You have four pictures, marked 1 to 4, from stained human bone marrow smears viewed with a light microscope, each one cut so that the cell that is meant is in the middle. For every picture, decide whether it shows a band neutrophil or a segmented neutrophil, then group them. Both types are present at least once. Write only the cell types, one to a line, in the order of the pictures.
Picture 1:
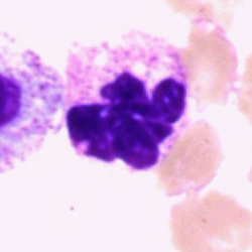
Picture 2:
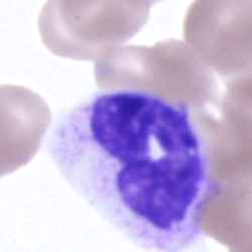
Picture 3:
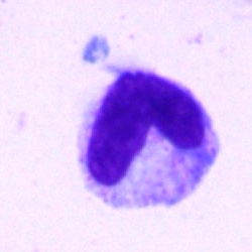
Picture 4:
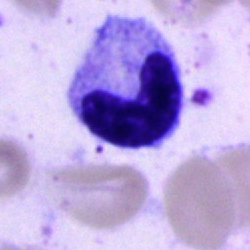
segmented neutrophil
segmented neutrophil
band neutrophil
band neutrophil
